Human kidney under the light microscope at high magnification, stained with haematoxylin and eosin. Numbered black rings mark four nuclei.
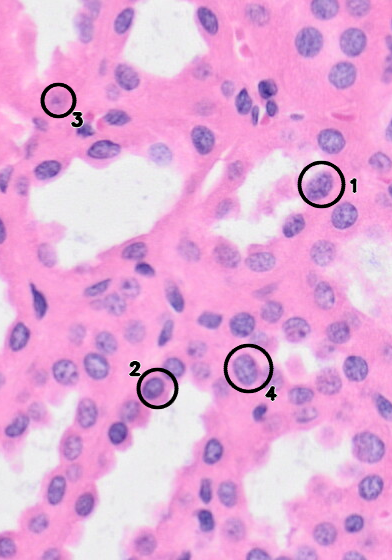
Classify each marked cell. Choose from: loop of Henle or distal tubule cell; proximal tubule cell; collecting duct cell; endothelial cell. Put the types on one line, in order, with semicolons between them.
loop of Henle or distal tubule cell; loop of Henle or distal tubule cell; proximal tubule cell; loop of Henle or distal tubule cell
